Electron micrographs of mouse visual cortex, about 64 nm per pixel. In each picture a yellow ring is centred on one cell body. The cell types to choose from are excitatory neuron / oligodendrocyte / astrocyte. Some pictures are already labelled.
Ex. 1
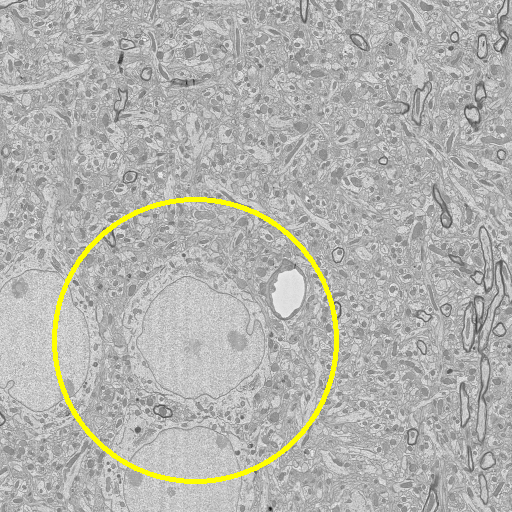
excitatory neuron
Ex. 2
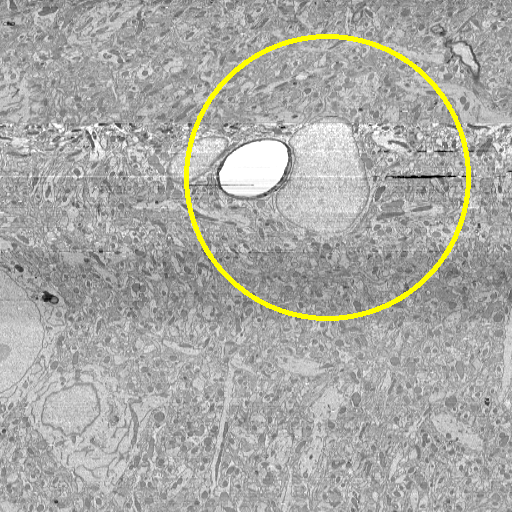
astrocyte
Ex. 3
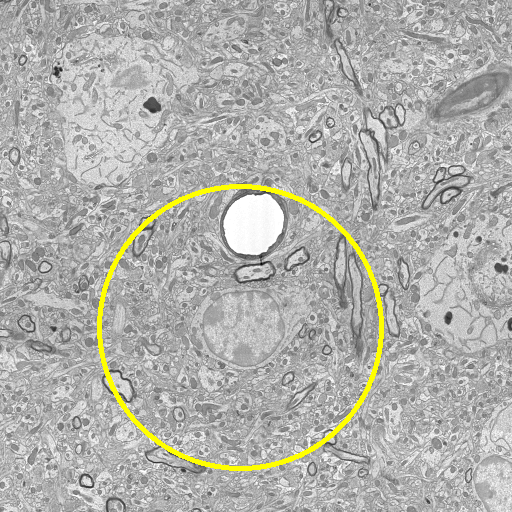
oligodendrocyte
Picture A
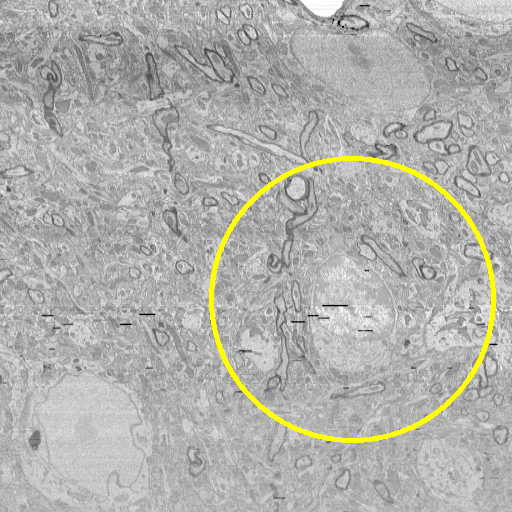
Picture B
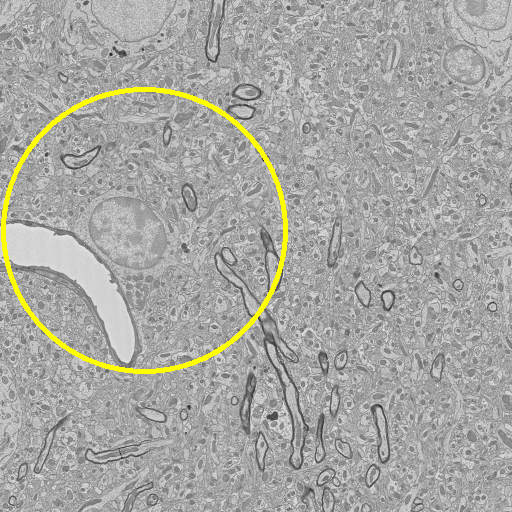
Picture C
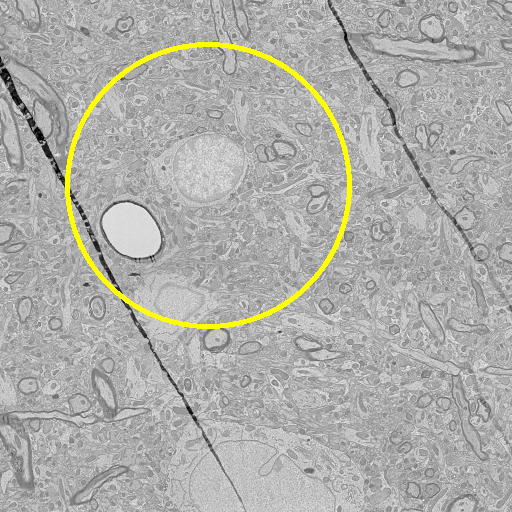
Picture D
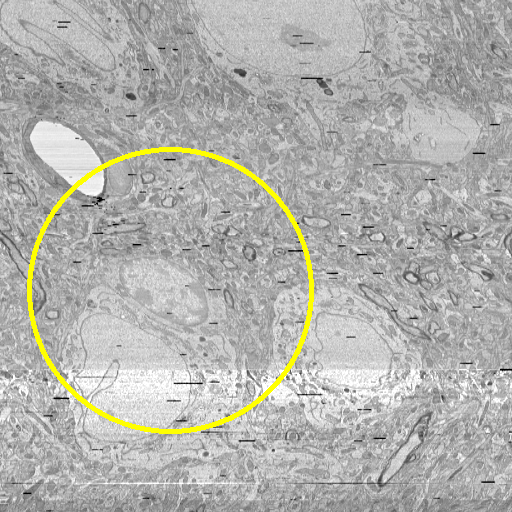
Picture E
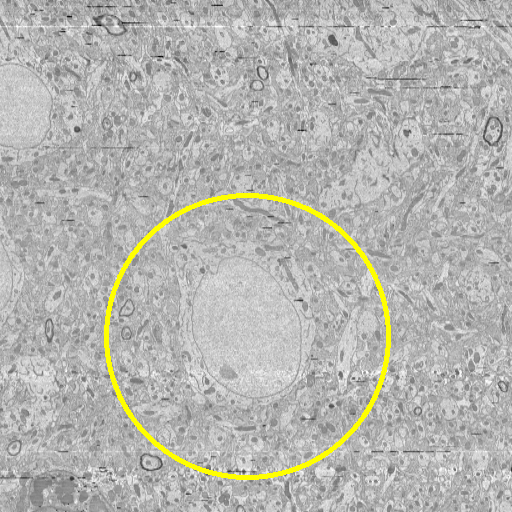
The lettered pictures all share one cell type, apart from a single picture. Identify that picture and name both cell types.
Odd one out: E (excitatory neuron). The rest: oligodendrocyte.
